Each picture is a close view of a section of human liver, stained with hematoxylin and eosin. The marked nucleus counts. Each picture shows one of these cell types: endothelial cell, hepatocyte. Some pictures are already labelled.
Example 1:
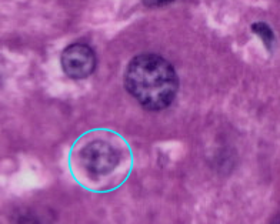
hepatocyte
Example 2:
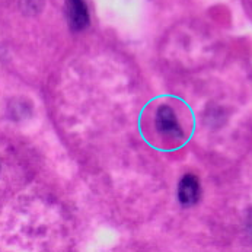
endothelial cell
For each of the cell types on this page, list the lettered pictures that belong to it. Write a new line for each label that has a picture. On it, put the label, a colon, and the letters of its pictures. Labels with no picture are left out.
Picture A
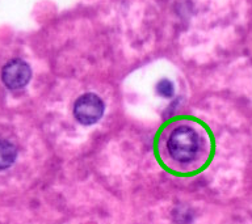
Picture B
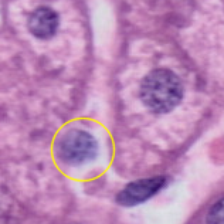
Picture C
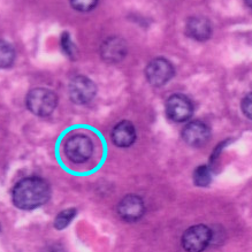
endothelial cell: B
hepatocyte: A, C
